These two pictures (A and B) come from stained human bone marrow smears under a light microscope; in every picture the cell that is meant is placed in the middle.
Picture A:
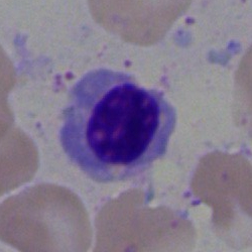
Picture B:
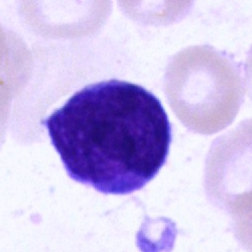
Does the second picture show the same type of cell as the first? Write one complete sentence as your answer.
No, they differ: the cell is an erythroblast in picture A and a blast in picture B.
